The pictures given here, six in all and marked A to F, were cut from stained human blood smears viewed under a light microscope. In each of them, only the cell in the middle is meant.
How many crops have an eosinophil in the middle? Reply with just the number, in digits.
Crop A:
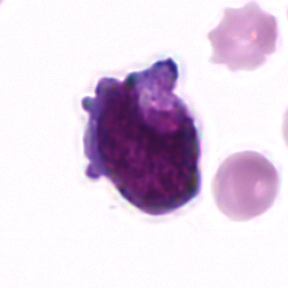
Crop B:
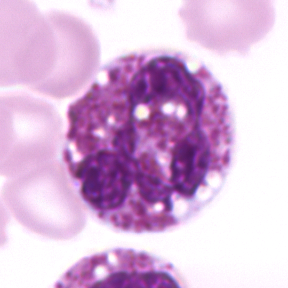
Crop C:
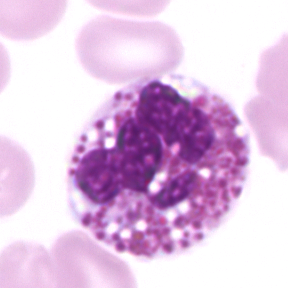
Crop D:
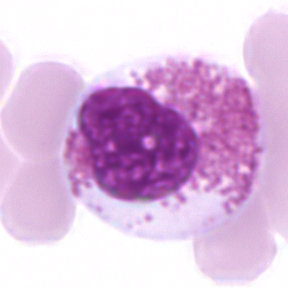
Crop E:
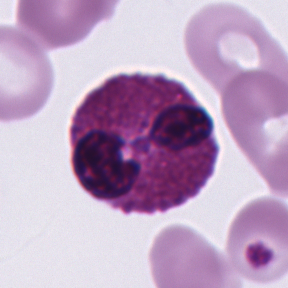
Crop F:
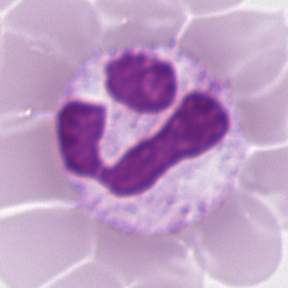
4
